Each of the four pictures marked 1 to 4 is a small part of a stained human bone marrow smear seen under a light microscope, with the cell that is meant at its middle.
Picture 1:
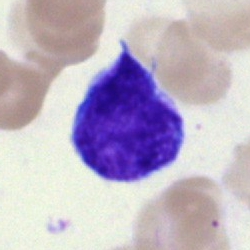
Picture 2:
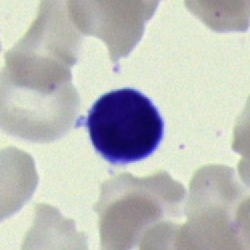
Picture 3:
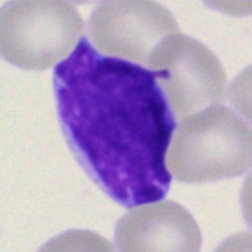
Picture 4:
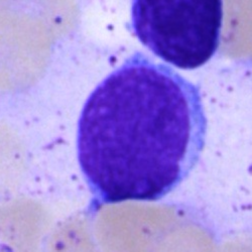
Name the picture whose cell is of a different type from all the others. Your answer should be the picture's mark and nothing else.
2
